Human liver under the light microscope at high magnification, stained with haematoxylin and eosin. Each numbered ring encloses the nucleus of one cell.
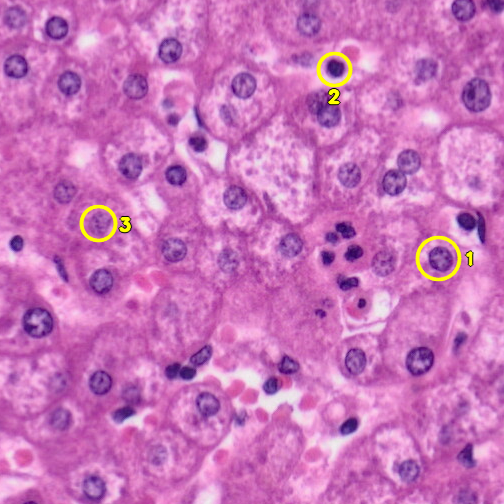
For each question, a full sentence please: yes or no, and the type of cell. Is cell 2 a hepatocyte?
No. Cell number 2 is a lymphocyte, not a hepatocyte.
